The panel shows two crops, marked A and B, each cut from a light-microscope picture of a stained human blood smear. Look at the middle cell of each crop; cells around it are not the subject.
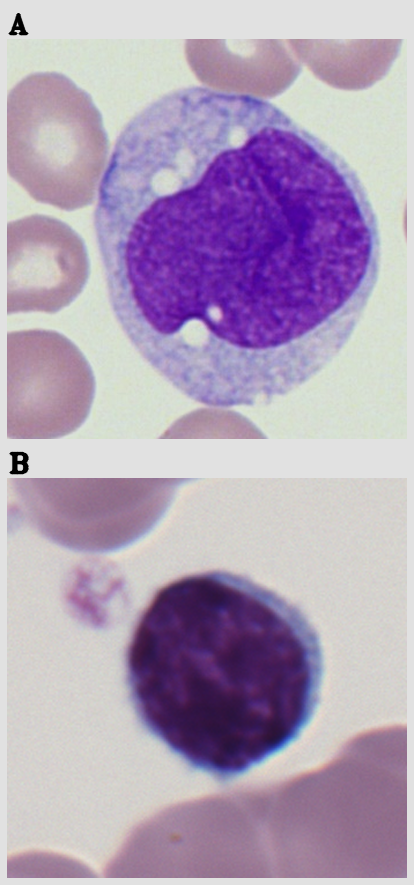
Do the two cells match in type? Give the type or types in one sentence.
No, crop A represents a monocyte, and crop B represents a lymphocyte.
